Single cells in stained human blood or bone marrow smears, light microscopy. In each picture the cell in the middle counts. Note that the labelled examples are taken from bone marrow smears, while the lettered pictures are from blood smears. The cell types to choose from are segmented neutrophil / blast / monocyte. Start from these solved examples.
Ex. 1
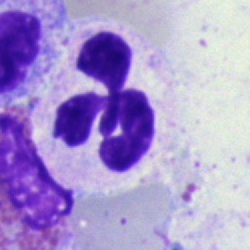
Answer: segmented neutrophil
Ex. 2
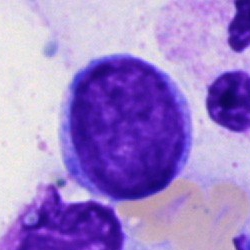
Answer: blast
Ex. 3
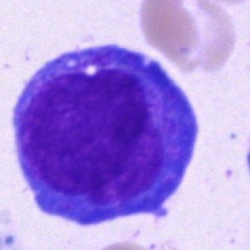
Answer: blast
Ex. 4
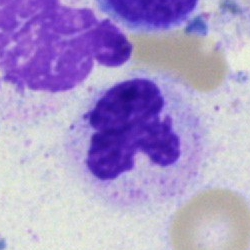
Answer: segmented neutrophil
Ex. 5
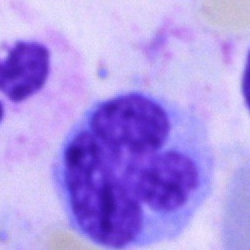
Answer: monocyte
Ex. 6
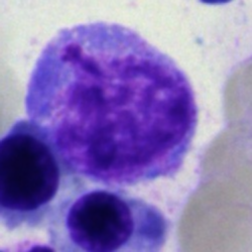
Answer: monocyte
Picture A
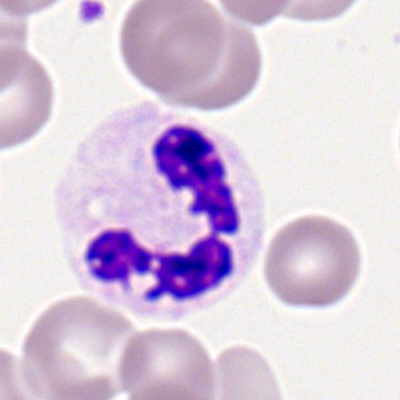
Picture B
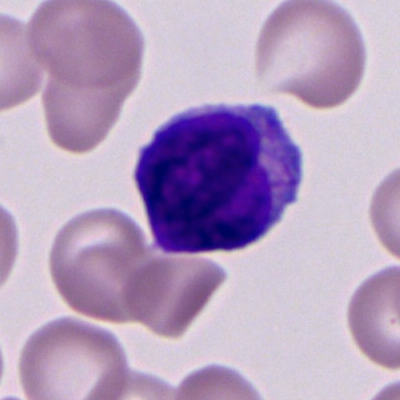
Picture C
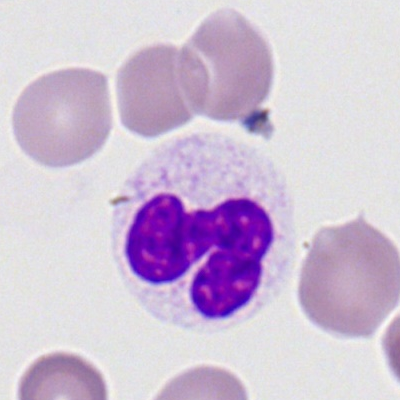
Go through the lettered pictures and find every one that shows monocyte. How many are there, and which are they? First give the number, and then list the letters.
0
